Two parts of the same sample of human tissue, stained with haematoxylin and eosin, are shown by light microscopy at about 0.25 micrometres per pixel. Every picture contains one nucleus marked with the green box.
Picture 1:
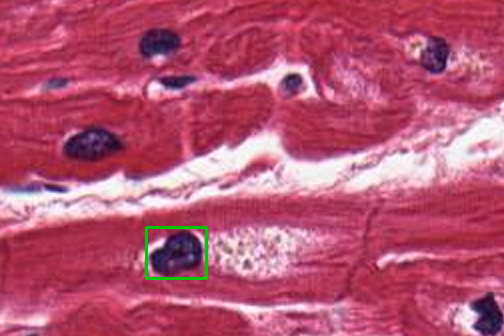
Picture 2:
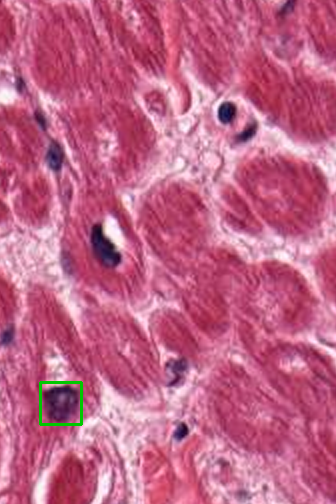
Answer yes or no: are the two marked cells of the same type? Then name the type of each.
Yes, both are cardiomyocytes.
